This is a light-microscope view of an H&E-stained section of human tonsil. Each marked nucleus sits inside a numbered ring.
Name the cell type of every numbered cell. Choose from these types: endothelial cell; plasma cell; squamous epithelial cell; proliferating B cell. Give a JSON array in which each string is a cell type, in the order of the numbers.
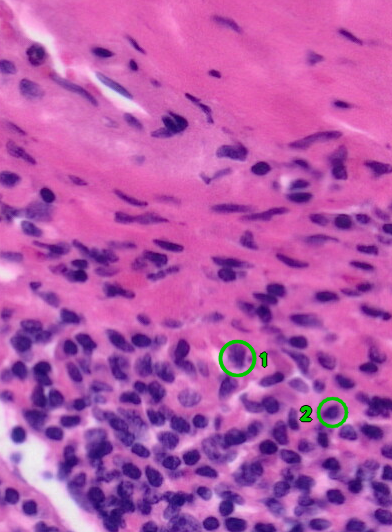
["endothelial cell", "plasma cell"]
